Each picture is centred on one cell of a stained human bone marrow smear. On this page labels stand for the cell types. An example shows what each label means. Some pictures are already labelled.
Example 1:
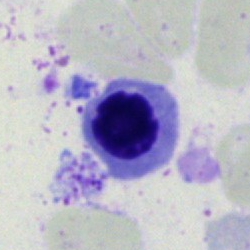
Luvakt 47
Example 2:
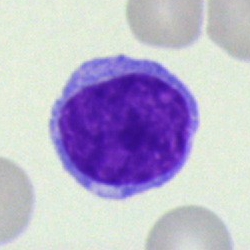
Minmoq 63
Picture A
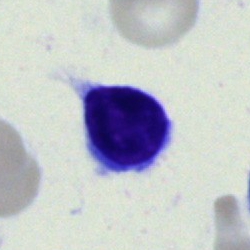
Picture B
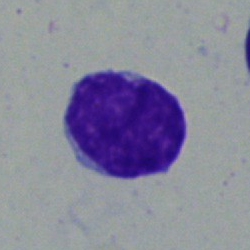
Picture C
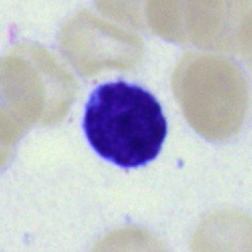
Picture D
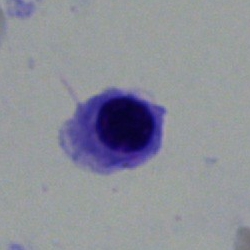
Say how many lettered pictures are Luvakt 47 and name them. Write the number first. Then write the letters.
1, namely D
